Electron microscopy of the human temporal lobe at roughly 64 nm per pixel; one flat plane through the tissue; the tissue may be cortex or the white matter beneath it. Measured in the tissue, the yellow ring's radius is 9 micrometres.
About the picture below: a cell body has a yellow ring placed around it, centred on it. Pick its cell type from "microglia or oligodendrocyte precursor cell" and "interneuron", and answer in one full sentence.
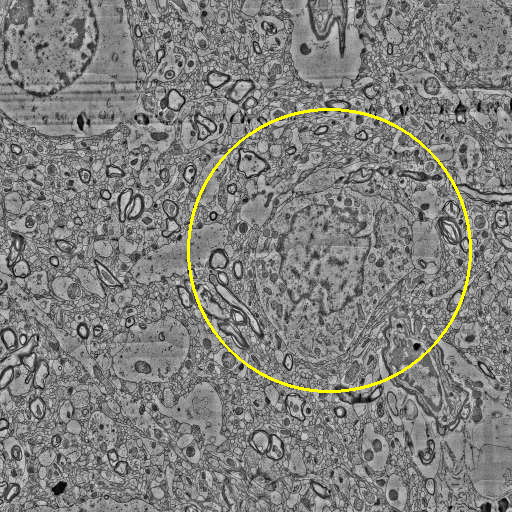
In the picture, an interneuron is the cell sitting at the centre of the yellow ring.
